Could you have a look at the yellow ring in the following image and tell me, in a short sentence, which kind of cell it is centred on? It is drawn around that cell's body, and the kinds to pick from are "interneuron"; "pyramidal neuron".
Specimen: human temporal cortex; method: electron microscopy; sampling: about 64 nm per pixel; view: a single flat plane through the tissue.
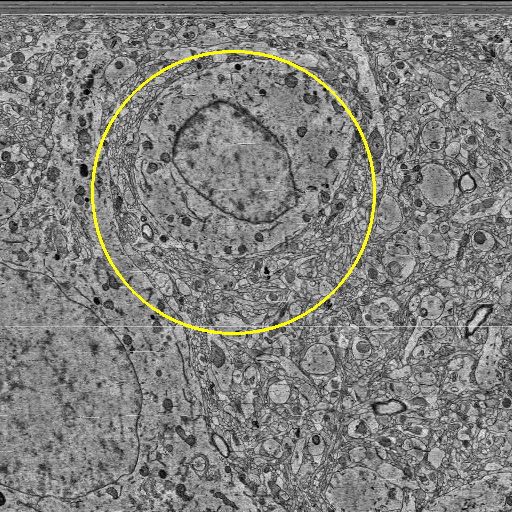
The ring is centred on the body of a pyramidal neuron.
